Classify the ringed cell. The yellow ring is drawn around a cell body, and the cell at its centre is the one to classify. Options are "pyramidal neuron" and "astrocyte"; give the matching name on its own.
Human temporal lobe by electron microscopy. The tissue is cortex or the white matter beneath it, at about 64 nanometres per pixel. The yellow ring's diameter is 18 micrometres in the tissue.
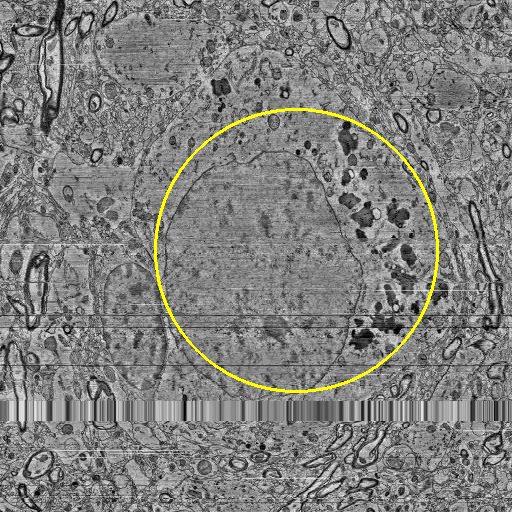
pyramidal neuron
